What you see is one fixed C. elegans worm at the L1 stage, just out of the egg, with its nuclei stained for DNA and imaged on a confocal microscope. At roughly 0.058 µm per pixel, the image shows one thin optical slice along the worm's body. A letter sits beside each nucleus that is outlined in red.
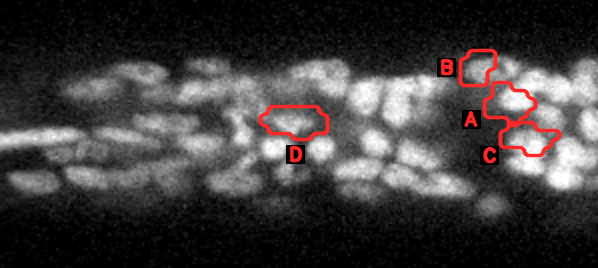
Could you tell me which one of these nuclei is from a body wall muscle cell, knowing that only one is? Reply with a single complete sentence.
Of the marked nuclei, B is the one in a body wall muscle cell.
